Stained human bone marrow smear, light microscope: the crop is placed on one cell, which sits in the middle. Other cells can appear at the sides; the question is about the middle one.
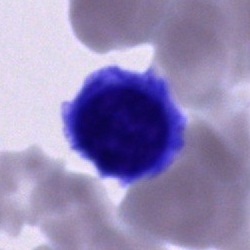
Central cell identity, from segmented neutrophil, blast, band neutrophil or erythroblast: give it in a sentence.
Occupying the centre of the crop is an erythroblast.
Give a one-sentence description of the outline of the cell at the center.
Irregular and not smooth, the cell boundary is ragged or drawn out into projections.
